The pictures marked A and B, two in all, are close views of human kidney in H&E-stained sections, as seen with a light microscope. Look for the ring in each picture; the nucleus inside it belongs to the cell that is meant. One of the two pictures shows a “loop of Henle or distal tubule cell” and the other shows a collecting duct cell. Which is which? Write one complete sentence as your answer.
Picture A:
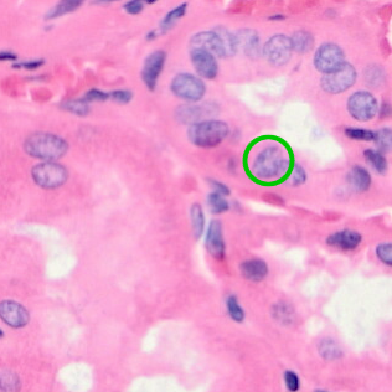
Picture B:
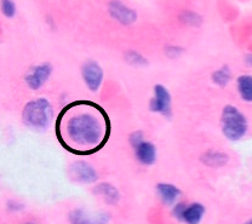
Picture A is of a collecting duct cell, and picture B is of a “loop of Henle or distal tubule cell”.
